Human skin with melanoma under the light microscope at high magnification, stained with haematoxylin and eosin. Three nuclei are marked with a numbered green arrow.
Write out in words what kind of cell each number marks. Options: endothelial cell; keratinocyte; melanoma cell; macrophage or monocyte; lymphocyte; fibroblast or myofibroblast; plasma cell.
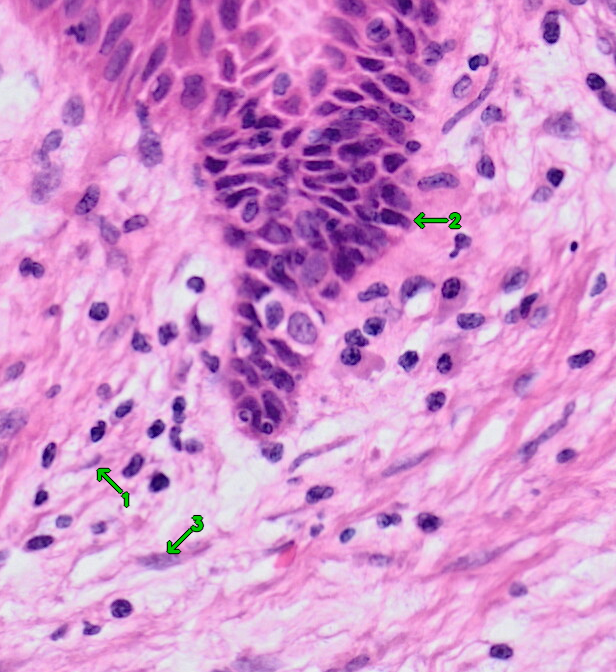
Cell 1 is a fibroblast or myofibroblast, cell 2 is a keratinocyte and cell 3 is a fibroblast or myofibroblast.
